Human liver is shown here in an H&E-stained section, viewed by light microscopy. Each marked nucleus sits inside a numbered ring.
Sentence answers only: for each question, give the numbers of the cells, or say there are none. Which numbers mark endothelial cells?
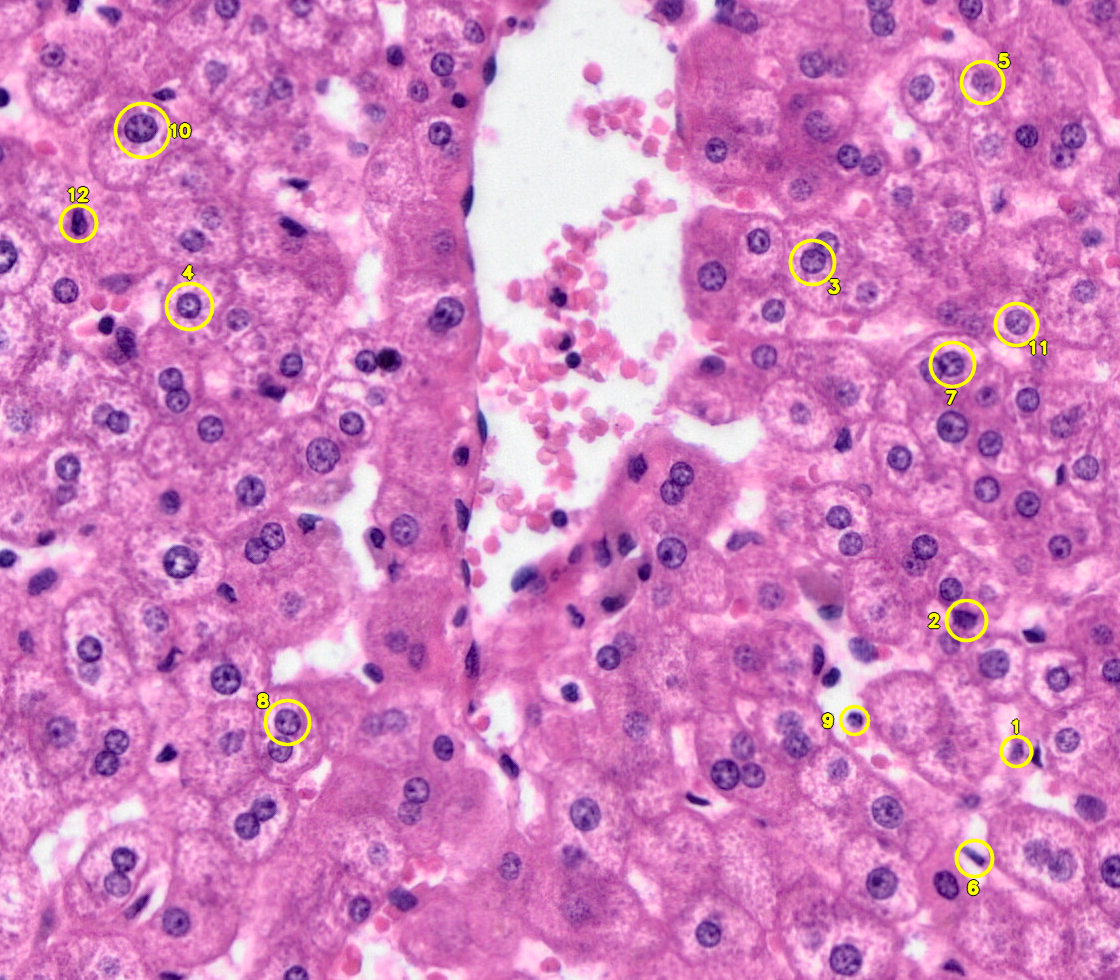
The cell labelled 6 is an endothelial cell, while the remaining numbered cells are not.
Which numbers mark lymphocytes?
Cell 9 is the one numbered cell that is a lymphocyte.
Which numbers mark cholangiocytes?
From first to last, the numbered cells include no cholangiocytes.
